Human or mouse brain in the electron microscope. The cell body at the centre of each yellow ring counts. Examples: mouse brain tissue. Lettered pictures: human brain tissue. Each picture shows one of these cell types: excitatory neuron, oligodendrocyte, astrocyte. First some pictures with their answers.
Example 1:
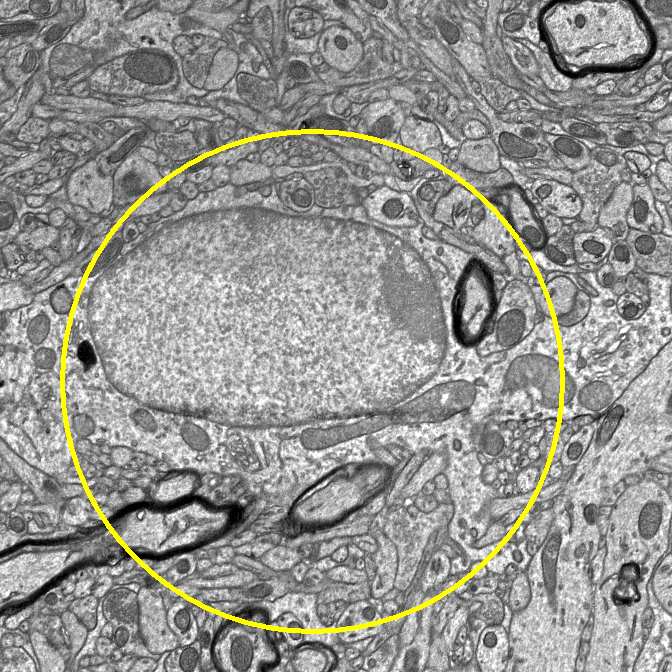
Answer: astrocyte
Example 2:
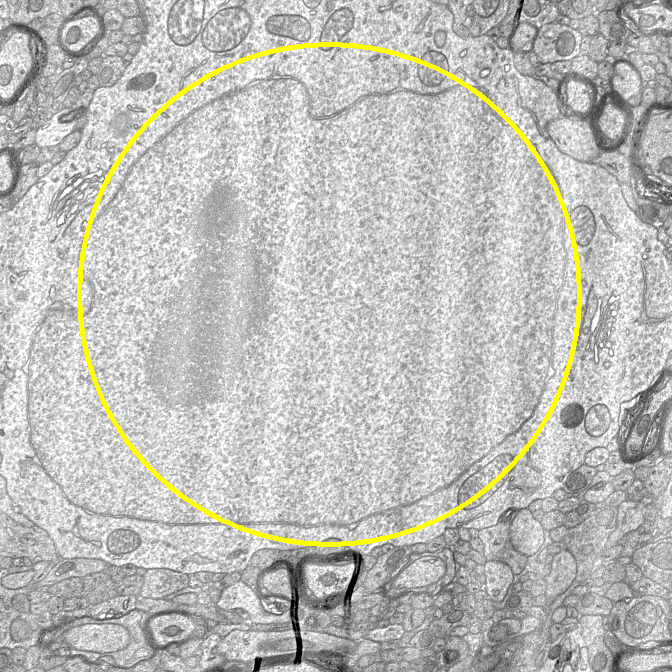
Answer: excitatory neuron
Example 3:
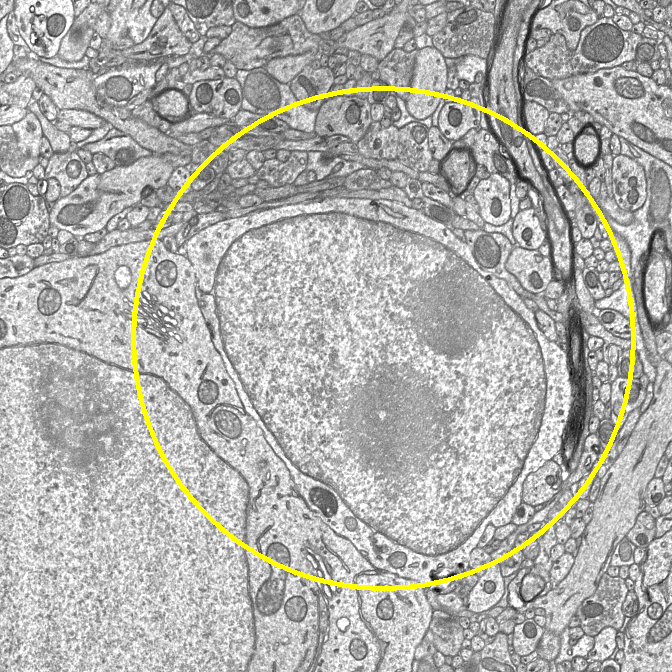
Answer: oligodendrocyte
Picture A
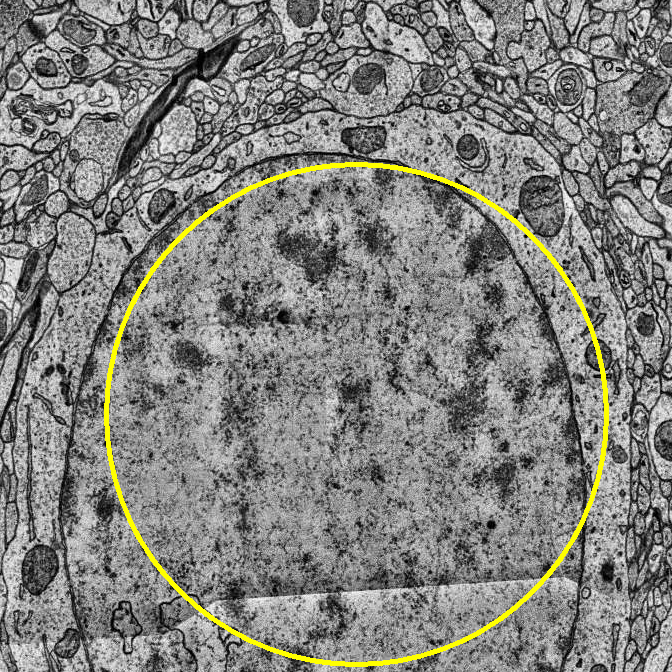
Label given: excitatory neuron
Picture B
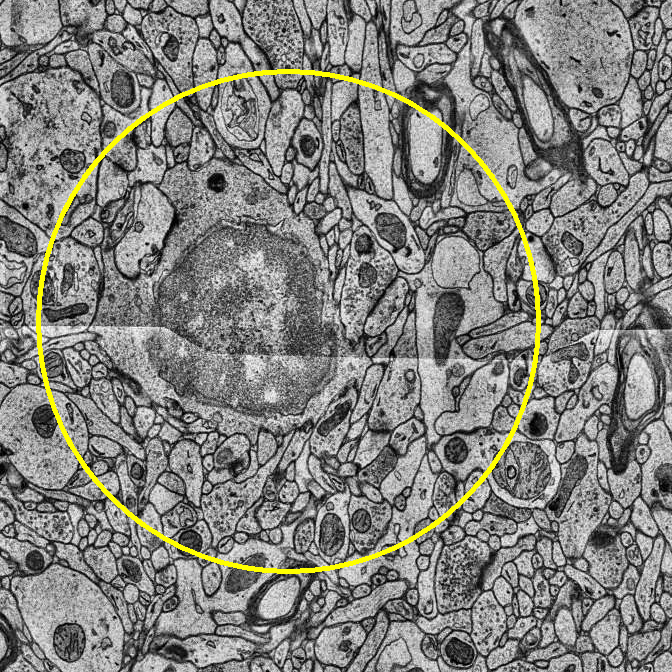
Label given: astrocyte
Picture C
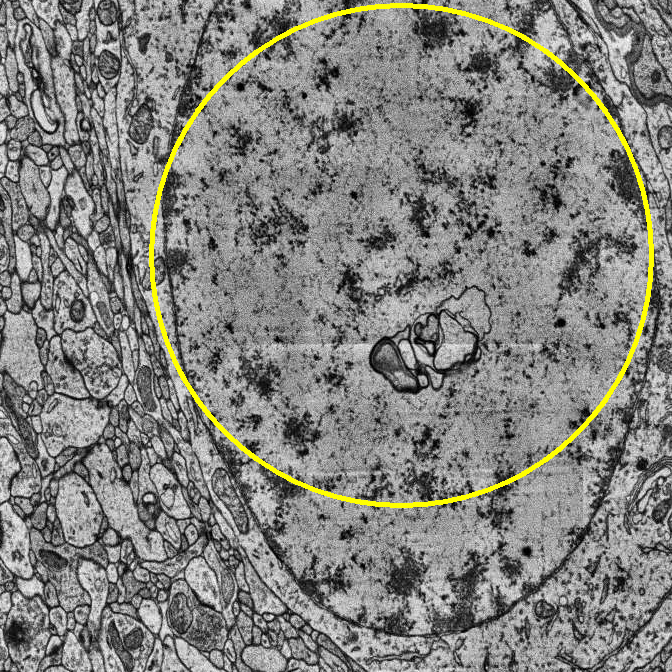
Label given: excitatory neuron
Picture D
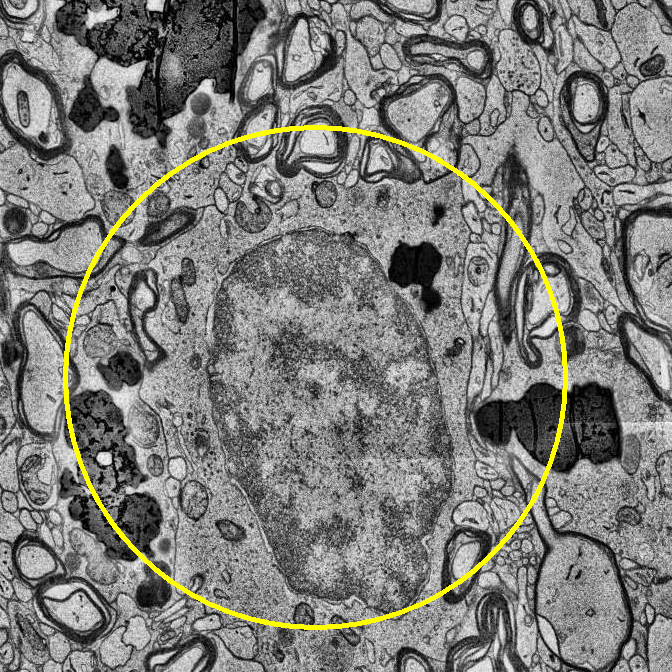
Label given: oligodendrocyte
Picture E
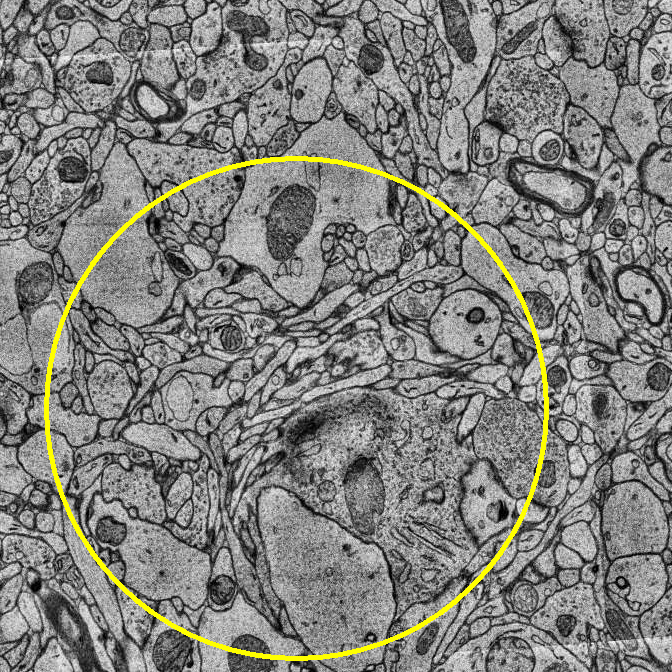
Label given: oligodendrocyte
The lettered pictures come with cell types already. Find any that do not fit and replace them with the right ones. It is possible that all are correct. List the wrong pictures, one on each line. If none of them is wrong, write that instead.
B should be oligodendrocyte, not astrocyte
